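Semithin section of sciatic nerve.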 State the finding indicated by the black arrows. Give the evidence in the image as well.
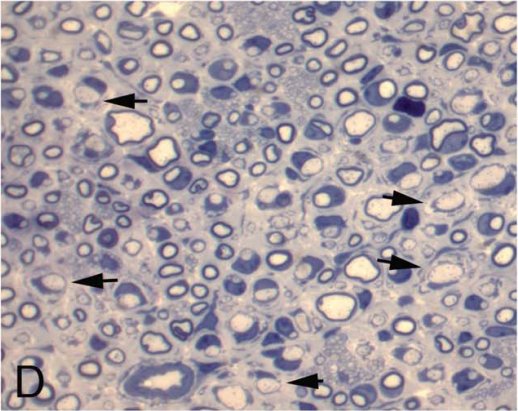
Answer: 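The marked profiles are large round pale axons. They lack the dark ring seen around other fibers.
Large caliber axons without myelin.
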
